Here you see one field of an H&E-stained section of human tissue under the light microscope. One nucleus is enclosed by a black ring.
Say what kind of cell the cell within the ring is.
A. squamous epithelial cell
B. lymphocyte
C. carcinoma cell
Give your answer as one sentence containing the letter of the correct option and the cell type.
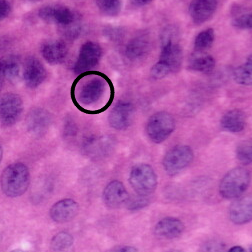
Option A is the one that fits, as the cell within the ring is a squamous epithelial cell.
